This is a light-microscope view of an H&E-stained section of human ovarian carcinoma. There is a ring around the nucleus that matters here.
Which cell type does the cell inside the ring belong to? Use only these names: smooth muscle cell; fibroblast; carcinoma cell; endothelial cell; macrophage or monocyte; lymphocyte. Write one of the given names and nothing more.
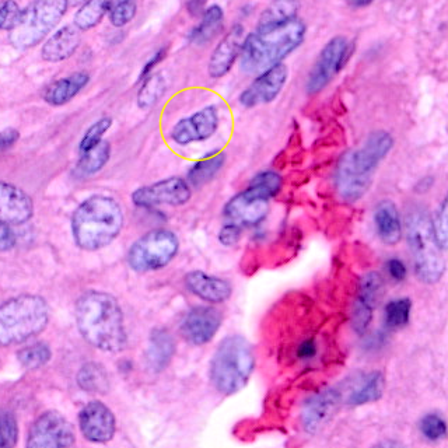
macrophage or monocyte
